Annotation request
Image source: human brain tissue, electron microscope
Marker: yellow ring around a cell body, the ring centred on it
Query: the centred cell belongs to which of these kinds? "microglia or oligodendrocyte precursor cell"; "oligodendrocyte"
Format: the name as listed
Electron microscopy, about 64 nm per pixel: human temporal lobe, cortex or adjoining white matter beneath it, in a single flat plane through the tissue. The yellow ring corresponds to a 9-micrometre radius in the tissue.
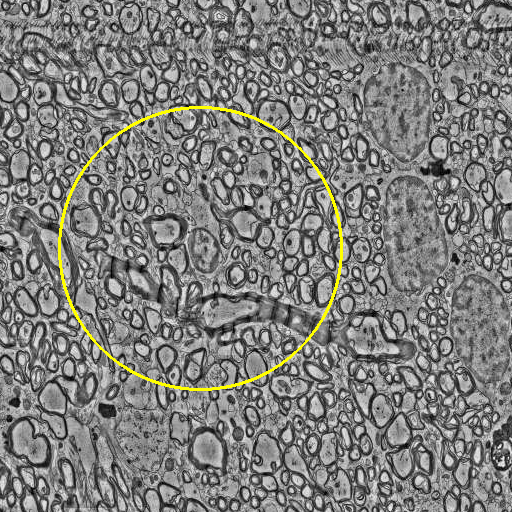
microglia or oligodendrocyte precursor cell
